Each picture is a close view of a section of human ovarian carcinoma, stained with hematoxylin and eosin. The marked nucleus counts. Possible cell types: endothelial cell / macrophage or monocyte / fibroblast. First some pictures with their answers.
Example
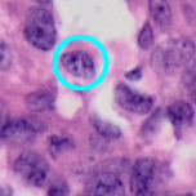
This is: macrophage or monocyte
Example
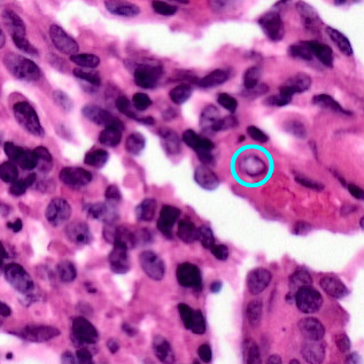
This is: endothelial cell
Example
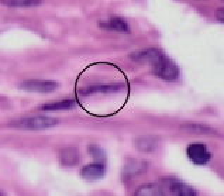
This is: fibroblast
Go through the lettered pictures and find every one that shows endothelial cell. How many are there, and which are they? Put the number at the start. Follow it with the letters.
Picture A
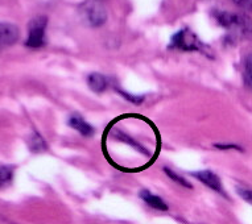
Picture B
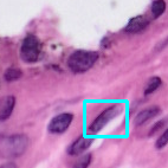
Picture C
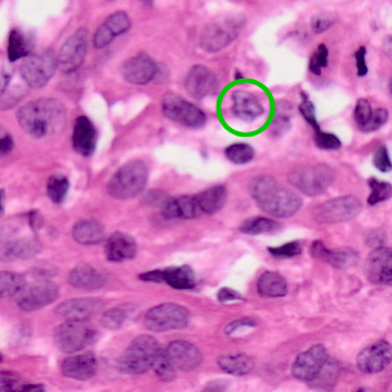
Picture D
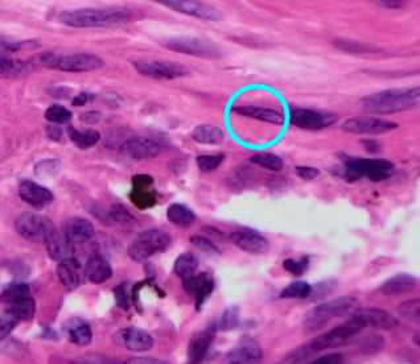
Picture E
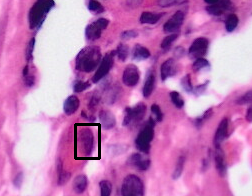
3, namely B, D, E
